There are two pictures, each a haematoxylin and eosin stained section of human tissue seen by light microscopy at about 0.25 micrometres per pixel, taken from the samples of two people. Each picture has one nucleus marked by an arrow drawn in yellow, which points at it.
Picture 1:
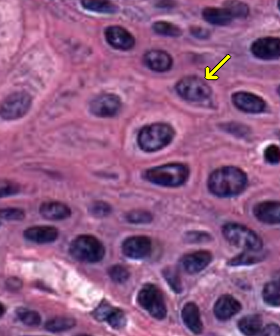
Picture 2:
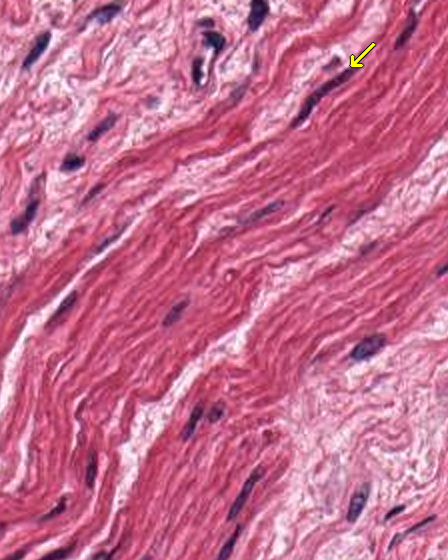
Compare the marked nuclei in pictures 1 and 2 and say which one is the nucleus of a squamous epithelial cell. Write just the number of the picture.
1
